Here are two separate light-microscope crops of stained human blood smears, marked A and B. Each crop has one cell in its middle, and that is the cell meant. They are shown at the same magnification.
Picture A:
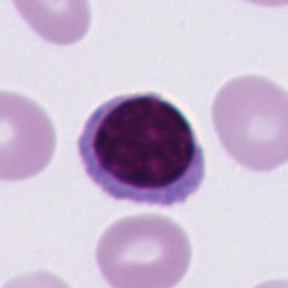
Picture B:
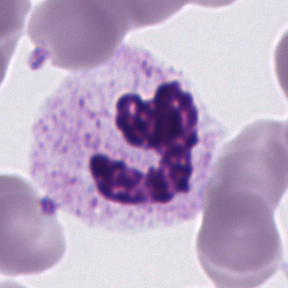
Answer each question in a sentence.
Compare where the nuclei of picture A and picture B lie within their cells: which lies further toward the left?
Seen within its cell, the nucleus in picture A lies further toward the left.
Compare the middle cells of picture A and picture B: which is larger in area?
Picture B holds the larger cell; it covers about 2.5 times the area of the cell in picture A.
